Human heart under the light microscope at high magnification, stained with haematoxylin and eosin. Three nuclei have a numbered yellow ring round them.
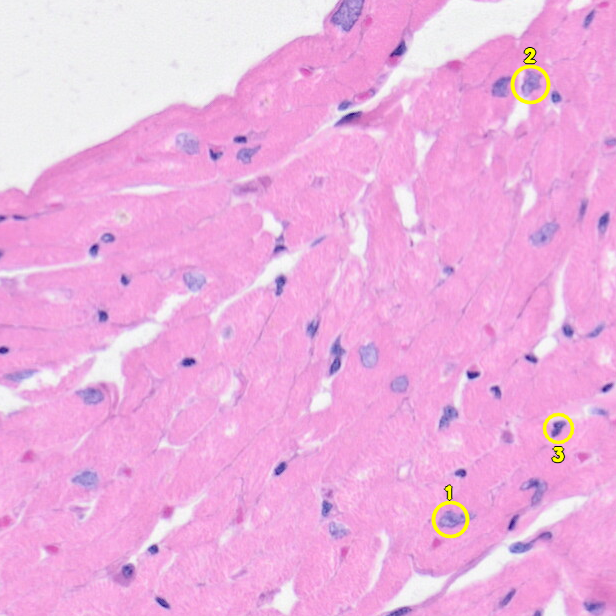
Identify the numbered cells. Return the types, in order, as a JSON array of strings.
["cardiomyocyte", "cardiomyocyte", "endothelial cell"]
